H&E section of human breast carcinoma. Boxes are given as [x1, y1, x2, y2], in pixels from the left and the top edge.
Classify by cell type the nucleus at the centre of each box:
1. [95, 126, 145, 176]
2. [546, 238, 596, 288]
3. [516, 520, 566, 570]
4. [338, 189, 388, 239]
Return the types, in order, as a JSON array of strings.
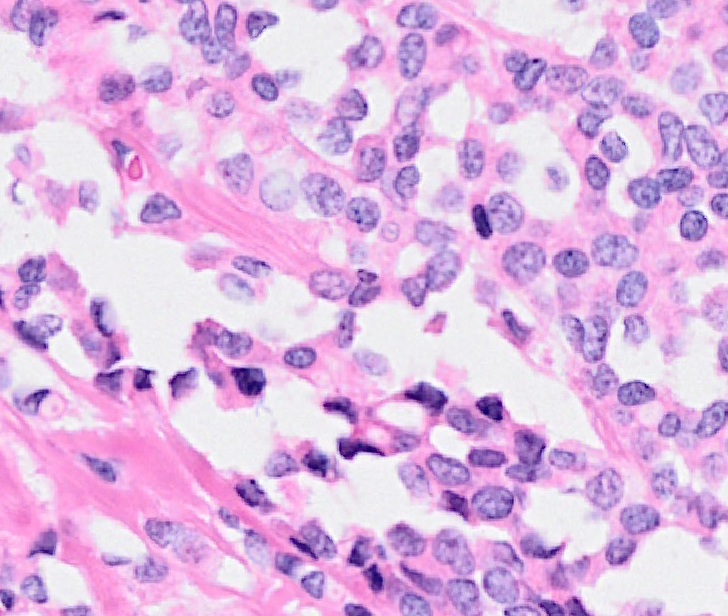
["endothelial cell", "carcinoma cell", "carcinoma cell", "carcinoma cell"]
